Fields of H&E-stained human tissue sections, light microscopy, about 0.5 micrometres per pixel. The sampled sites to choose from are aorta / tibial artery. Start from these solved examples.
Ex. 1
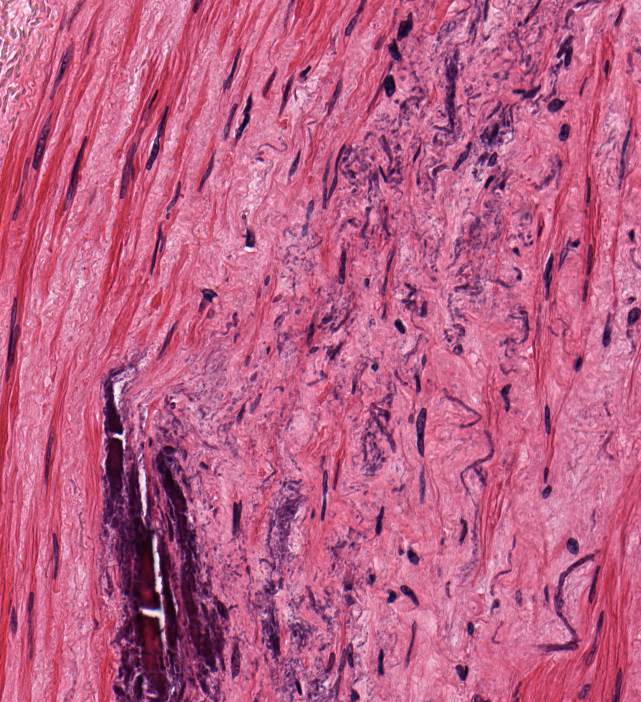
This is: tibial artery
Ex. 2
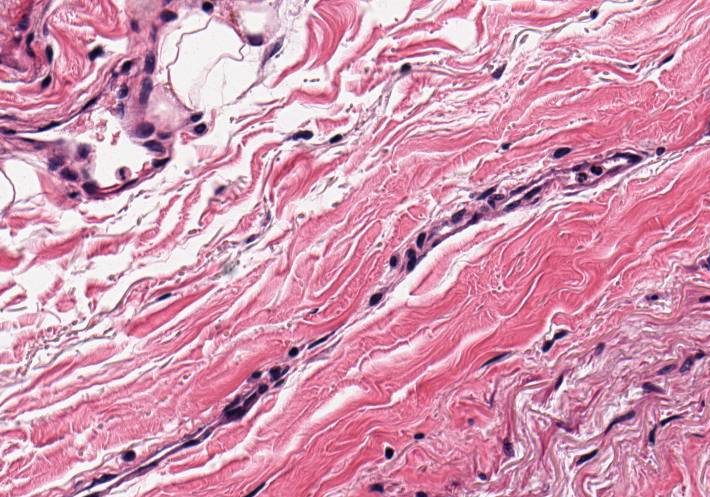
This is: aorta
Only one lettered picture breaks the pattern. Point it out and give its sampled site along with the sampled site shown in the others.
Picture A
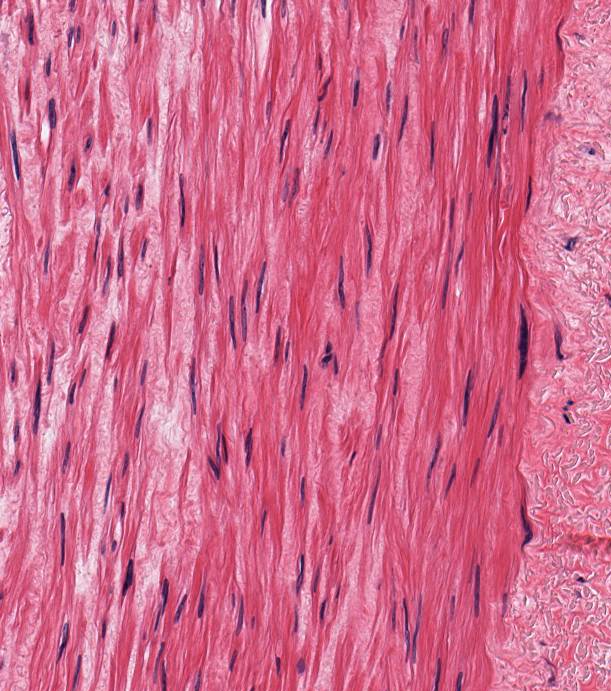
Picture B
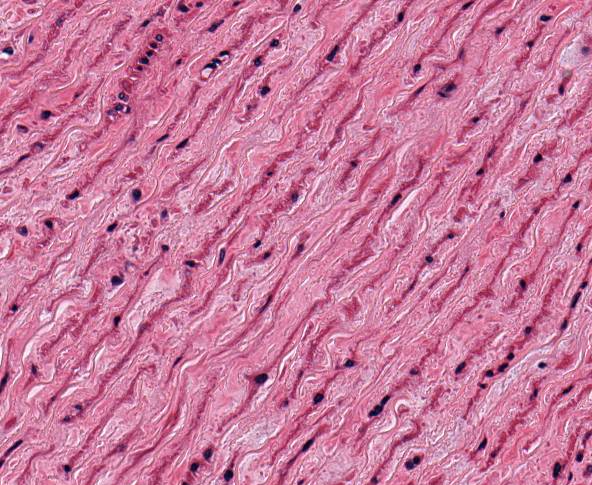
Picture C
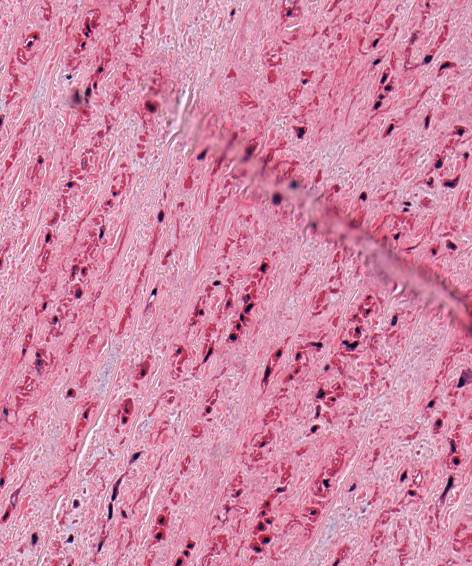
Different: A, tibial artery. Others: aorta.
